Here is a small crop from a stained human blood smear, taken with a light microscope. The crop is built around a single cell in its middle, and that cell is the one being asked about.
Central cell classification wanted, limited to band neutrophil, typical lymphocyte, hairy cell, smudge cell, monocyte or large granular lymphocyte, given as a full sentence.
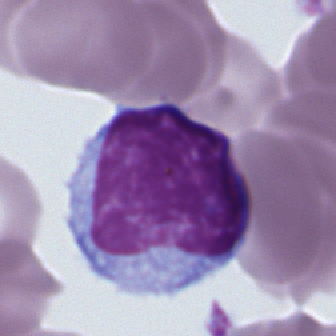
The cell shown in the center of this light-microscope crop is a typical lymphocyte.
